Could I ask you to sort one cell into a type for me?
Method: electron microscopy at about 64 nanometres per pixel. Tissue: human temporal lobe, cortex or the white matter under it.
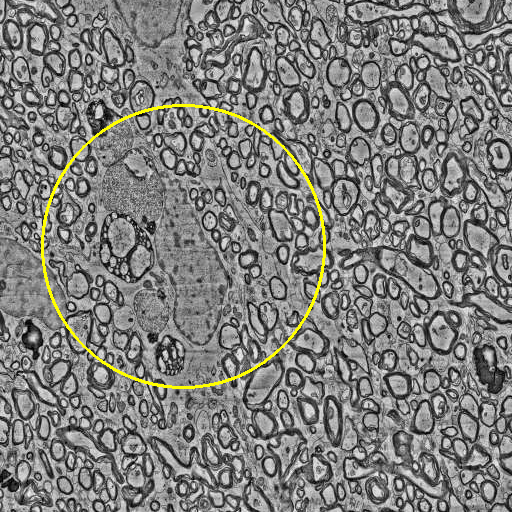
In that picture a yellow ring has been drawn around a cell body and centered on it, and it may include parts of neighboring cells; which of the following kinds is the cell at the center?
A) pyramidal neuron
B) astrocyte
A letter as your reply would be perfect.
B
